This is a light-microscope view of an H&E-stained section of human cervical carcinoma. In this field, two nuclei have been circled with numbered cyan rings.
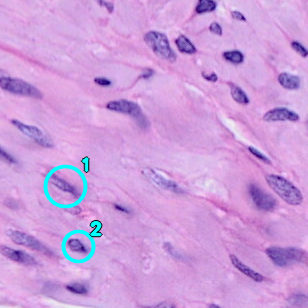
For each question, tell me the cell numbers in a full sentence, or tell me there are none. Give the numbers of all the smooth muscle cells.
Only at number 1 is there a smooth muscle cell.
